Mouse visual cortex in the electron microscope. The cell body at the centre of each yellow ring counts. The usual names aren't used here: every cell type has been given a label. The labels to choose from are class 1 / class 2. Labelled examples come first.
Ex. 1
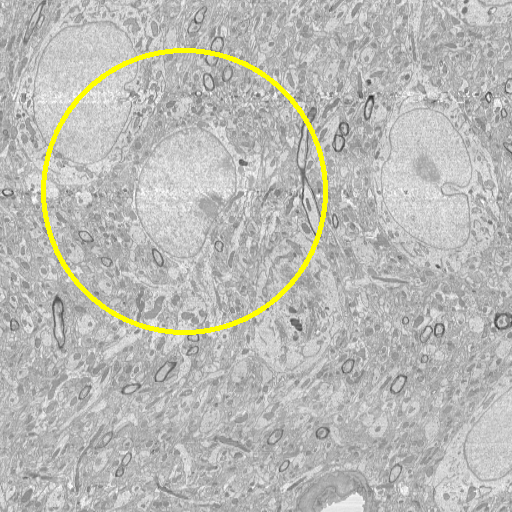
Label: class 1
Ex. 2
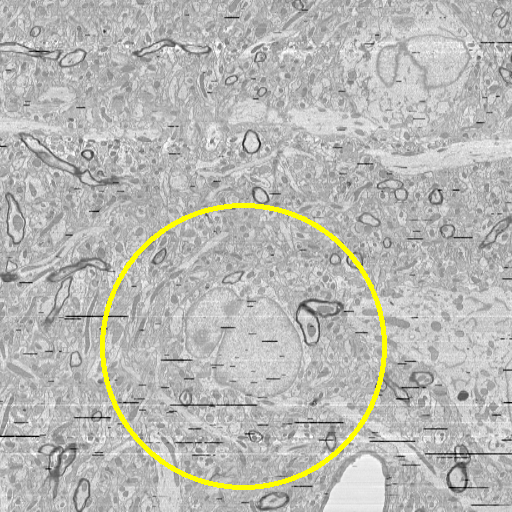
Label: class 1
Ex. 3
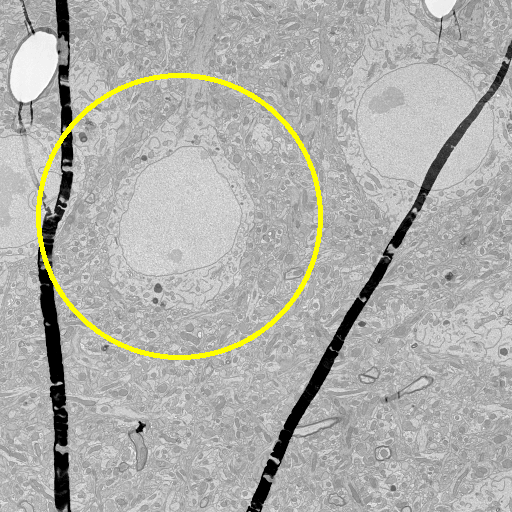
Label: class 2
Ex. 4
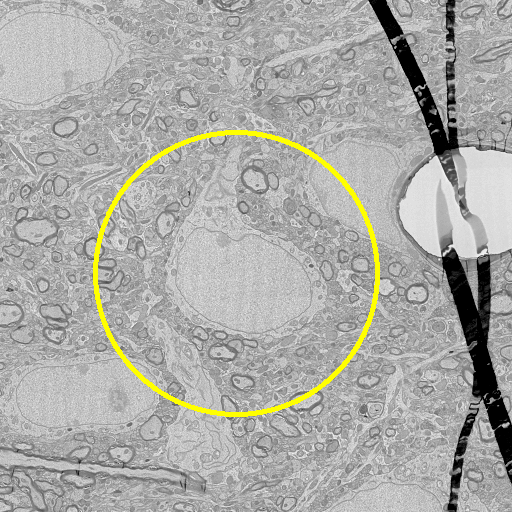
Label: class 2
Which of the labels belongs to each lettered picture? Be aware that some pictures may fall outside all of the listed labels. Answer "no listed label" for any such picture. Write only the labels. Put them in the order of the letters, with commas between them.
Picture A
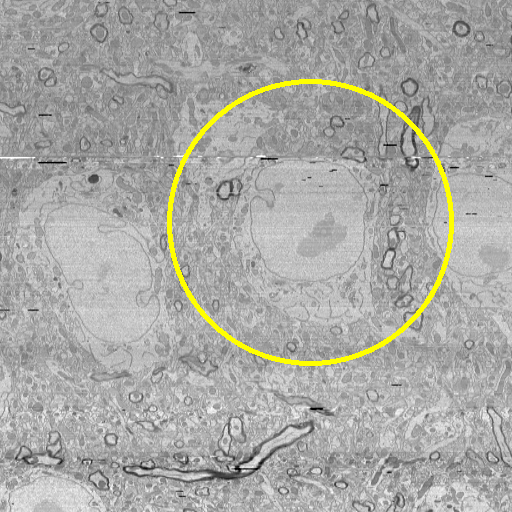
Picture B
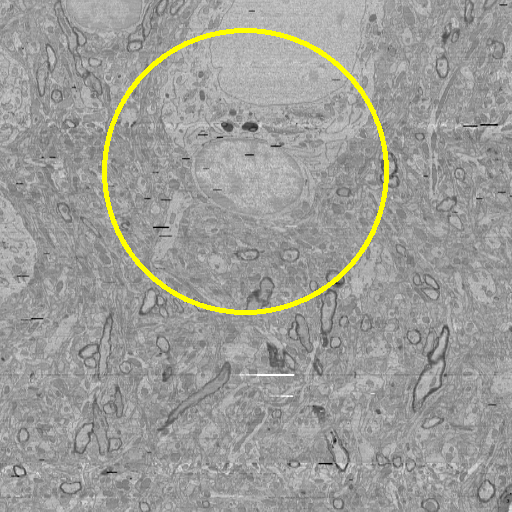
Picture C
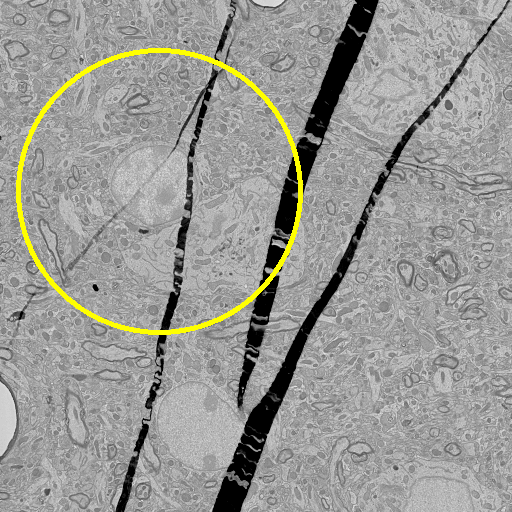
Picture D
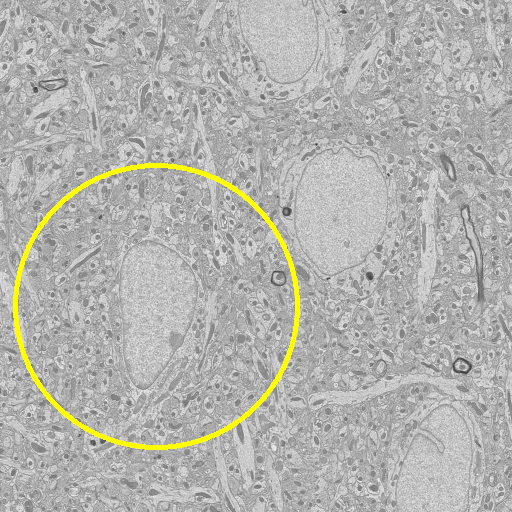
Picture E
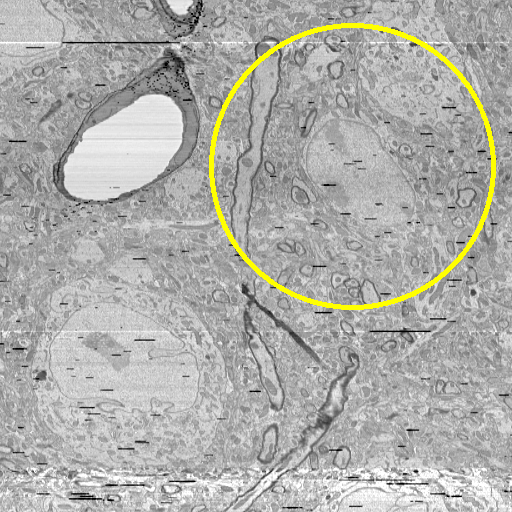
class 2, no listed label, no listed label, class 1, class 1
